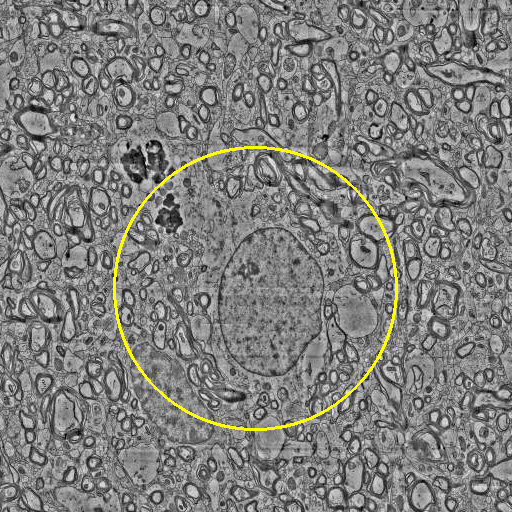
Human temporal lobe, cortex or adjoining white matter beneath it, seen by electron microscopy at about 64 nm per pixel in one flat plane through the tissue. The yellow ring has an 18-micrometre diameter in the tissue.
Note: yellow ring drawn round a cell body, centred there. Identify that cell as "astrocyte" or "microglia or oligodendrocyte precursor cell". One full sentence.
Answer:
The cell in the middle of the ring is an astrocyte.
